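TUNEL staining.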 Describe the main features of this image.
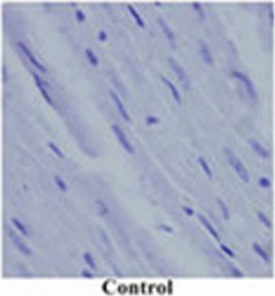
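Heart muscle with cardiomyocytes running as elongated, roughly parallel fibres. The nuclei are slender, elongated and uniformly blue, with no brown nuclei seen. The cytoplasm is pale bluish and evenly stained.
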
